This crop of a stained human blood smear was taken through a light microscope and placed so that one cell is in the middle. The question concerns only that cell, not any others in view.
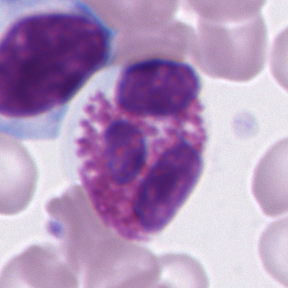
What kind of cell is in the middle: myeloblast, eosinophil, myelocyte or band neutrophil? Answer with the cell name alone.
eosinophil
